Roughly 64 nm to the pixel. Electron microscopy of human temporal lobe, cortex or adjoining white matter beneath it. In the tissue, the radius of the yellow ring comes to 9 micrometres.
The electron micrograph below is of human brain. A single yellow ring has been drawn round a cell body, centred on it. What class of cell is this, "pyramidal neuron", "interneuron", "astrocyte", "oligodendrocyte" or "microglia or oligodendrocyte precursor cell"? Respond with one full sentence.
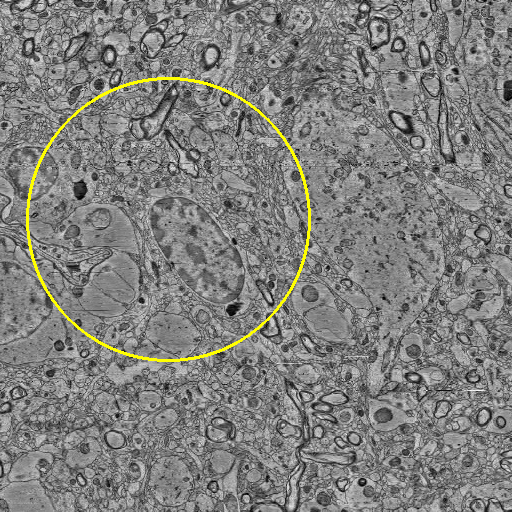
In the micrograph, the cell centred inside the yellow ring is a microglial cell or oligodendrocyte precursor cell.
